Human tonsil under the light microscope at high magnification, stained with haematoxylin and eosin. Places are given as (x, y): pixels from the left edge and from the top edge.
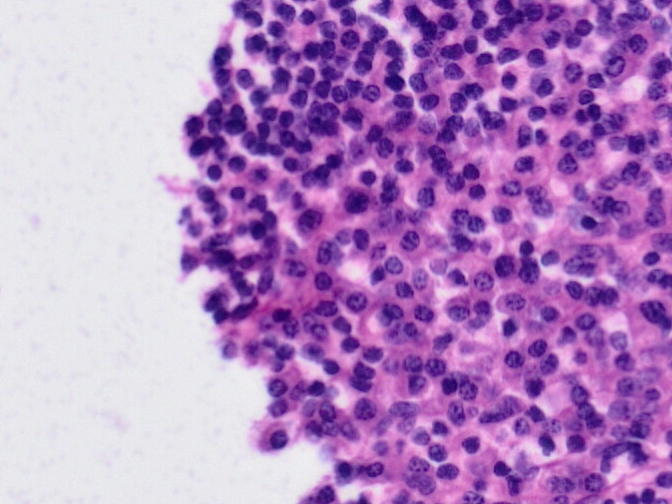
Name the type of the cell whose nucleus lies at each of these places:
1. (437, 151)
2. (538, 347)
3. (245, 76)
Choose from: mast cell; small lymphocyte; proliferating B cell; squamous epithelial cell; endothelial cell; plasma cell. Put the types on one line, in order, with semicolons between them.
plasma cell; plasma cell; small lymphocyte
